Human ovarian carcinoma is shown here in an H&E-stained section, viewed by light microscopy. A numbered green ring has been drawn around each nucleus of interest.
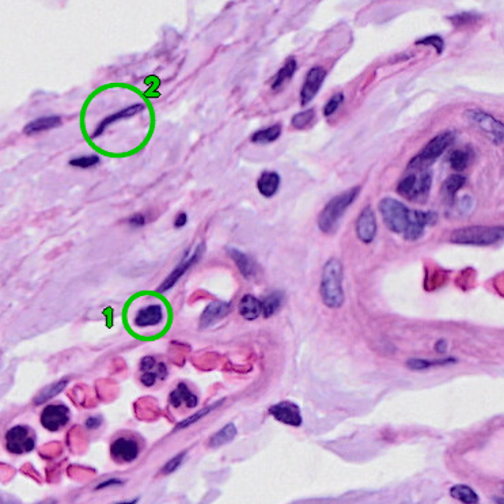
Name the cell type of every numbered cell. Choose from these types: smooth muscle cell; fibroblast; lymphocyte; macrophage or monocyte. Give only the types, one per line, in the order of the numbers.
lymphocyte
fibroblast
